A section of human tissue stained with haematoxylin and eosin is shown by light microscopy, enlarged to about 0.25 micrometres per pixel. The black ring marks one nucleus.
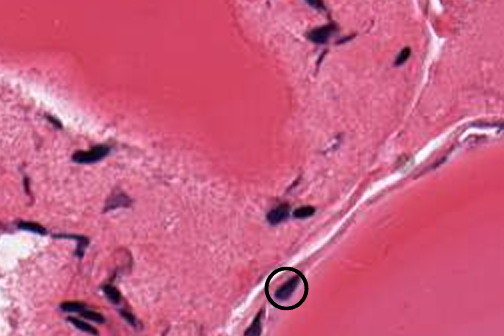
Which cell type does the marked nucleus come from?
thyroid follicular cell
